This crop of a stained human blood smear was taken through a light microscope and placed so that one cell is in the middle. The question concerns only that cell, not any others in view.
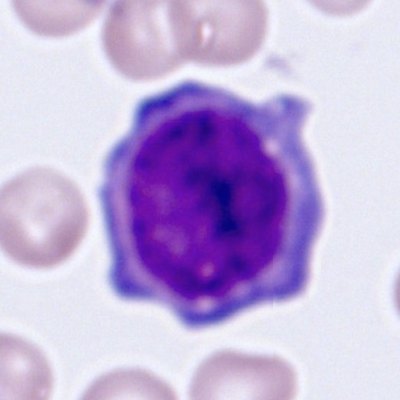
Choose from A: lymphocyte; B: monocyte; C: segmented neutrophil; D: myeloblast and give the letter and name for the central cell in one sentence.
The cell centred in the crop is a myeloblast, and the correct option is thus D.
